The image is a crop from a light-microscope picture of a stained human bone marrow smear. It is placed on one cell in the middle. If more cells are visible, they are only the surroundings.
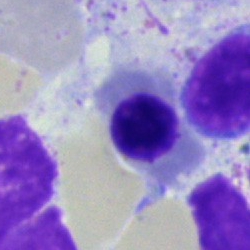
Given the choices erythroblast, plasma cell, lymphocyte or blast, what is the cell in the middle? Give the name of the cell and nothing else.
erythroblast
